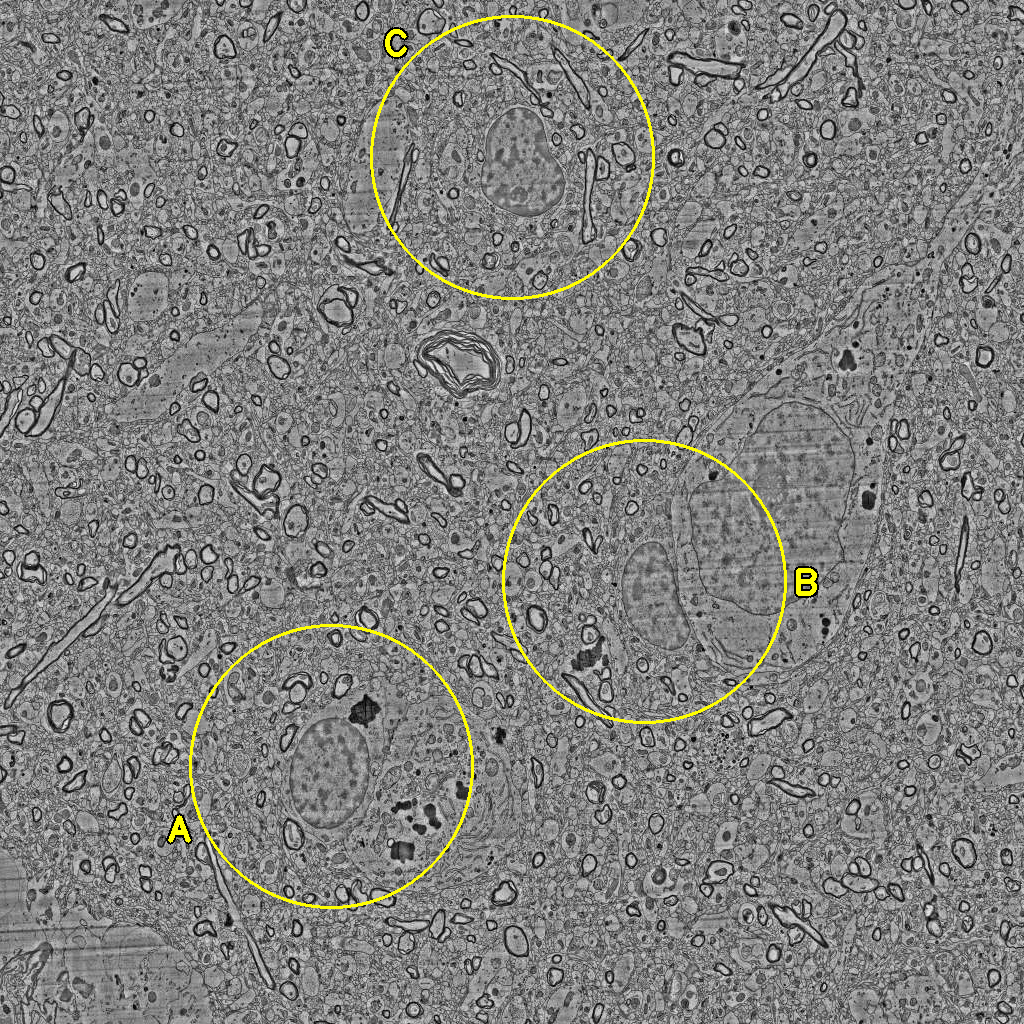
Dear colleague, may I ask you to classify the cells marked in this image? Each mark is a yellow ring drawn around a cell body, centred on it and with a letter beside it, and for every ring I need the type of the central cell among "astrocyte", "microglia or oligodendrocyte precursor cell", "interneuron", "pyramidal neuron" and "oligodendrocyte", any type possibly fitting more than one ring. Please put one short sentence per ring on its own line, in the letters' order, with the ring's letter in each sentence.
Ring A contains an oligodendrocyte at its centre.
Ring B contains an oligodendrocyte at its centre.
Ring C contains a microglial cell or oligodendrocyte precursor cell at its centre.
